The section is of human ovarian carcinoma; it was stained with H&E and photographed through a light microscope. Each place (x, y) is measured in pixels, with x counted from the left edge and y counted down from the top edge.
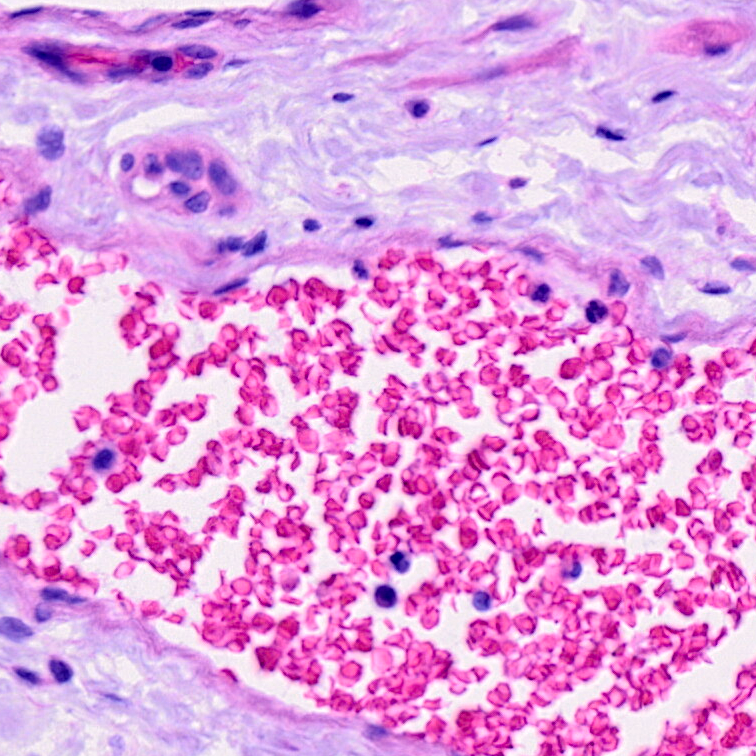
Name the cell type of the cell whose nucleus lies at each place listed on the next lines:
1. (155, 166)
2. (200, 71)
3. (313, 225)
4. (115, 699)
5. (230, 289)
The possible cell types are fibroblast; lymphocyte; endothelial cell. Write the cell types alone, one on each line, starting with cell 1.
endothelial cell
endothelial cell
lymphocyte
fibroblast
endothelial cell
